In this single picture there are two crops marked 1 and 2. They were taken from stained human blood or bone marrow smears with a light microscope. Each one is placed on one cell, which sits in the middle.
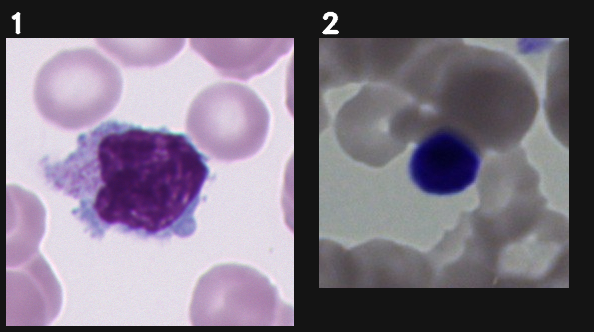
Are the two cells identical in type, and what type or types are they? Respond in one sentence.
Yes, the cells that the two crops centre on are lymphocytes.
